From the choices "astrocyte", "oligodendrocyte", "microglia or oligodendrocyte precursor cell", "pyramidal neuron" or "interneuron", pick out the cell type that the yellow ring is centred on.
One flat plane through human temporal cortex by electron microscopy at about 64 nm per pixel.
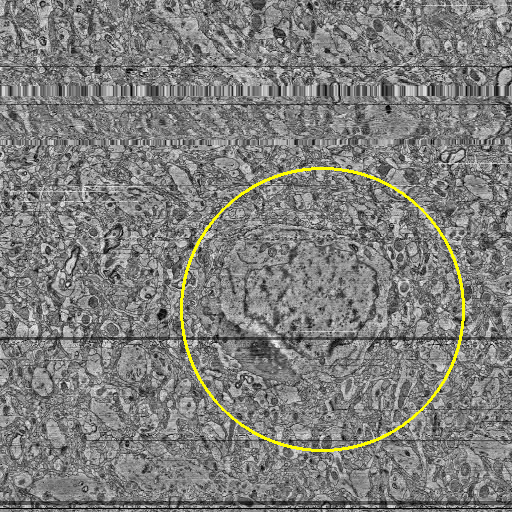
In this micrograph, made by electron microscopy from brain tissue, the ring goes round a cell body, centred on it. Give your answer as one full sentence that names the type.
The yellow ring is centred on an interneuron, whose cell body it encircles in the picture.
